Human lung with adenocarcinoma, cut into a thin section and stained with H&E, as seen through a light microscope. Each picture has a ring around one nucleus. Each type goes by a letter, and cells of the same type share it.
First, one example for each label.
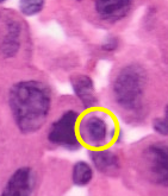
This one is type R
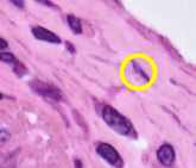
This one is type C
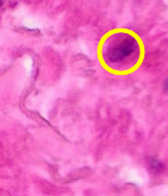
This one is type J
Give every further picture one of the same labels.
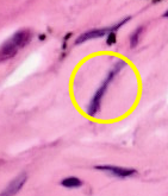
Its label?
type C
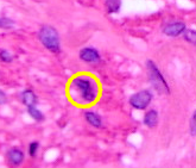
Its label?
type J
